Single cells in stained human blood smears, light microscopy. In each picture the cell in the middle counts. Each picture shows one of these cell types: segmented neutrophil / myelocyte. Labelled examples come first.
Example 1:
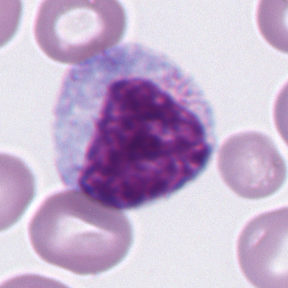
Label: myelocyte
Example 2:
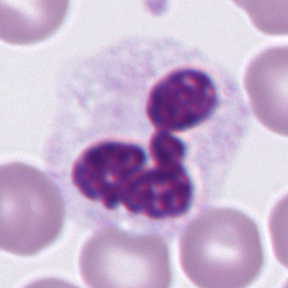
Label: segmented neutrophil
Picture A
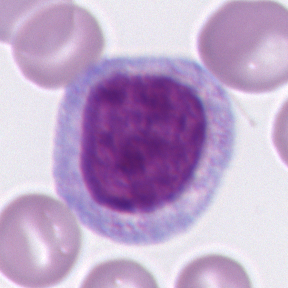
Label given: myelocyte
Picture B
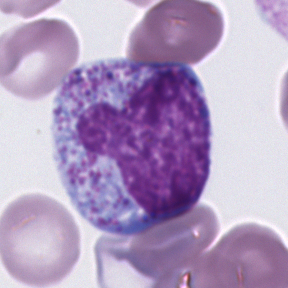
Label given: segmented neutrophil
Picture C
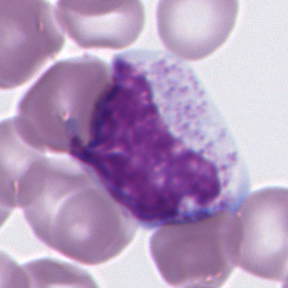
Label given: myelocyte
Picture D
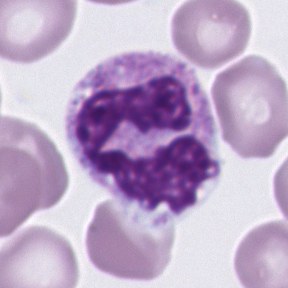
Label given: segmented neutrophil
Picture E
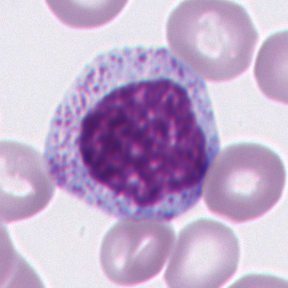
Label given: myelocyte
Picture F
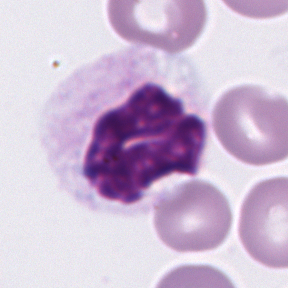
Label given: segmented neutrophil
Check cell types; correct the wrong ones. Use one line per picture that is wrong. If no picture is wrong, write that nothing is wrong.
B: myelocyte, not segmented neutrophil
